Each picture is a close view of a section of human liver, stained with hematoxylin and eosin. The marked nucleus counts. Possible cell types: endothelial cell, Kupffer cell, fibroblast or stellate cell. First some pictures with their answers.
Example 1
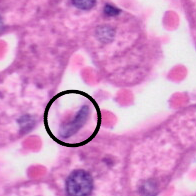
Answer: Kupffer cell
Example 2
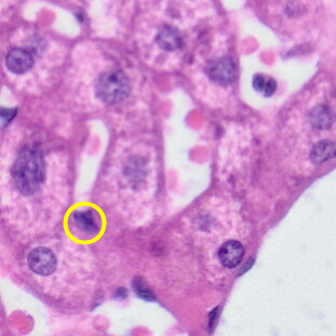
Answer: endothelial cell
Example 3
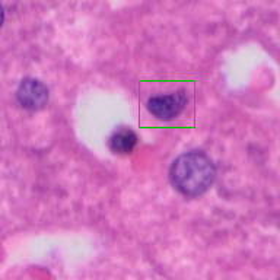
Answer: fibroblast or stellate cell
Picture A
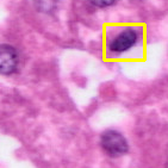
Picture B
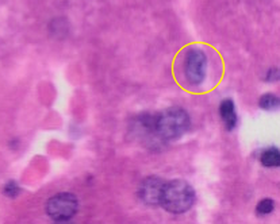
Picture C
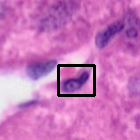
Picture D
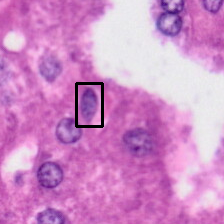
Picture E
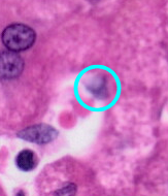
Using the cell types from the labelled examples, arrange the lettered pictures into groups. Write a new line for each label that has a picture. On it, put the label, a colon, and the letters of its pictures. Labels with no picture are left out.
endothelial cell: E
Kupffer cell: C, D
fibroblast or stellate cell: A, B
